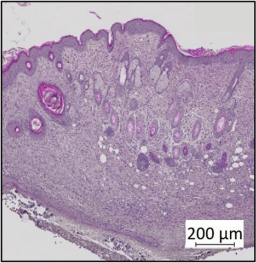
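A section of skin in which a thin epidermis with an irregular, folded surface overlies a very broad pink-purple dermis filling most of the field. Numerous hair follicles and glands lie scattered through the dense dermis, and no distinct layer of subcutaneous fat cells is seen beneath it.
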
